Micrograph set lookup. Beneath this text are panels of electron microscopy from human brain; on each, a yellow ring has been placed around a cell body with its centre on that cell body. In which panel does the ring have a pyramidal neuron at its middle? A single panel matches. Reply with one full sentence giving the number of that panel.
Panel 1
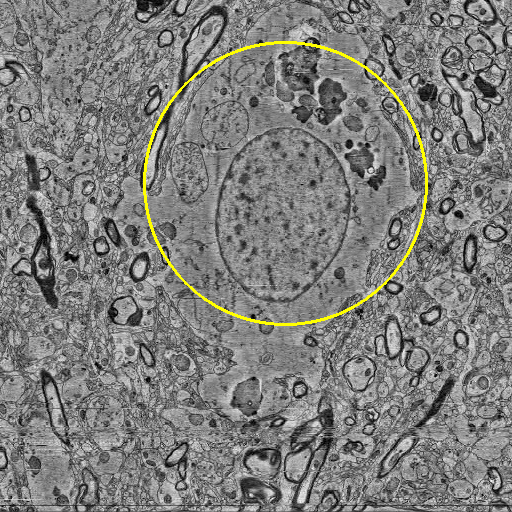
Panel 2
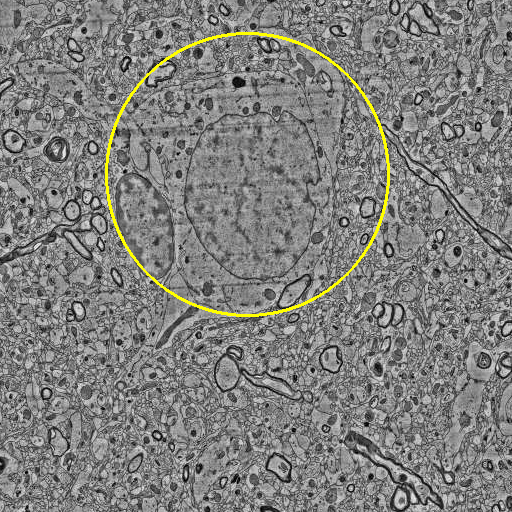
Panel 2 is the one whose ring has the sought cell at its centre.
